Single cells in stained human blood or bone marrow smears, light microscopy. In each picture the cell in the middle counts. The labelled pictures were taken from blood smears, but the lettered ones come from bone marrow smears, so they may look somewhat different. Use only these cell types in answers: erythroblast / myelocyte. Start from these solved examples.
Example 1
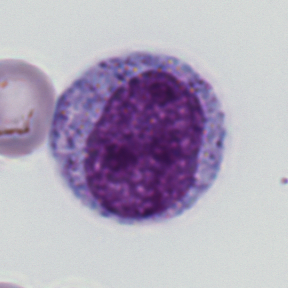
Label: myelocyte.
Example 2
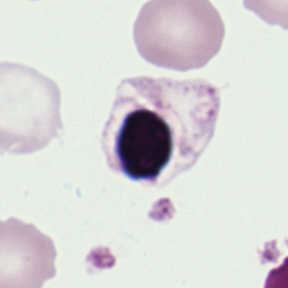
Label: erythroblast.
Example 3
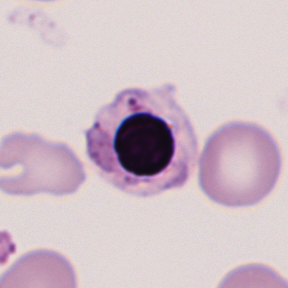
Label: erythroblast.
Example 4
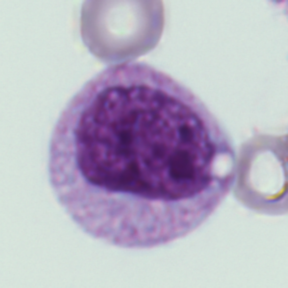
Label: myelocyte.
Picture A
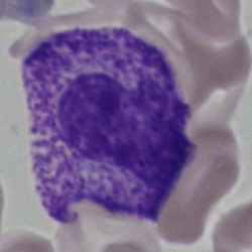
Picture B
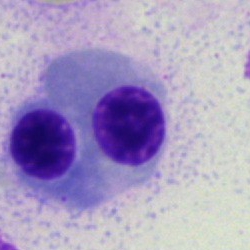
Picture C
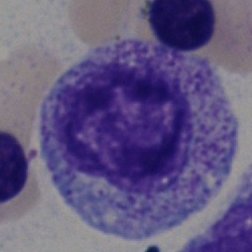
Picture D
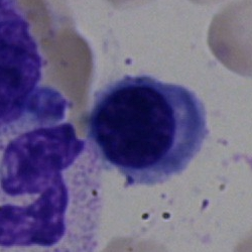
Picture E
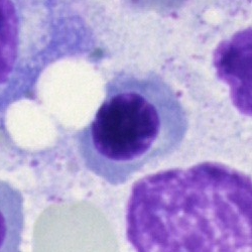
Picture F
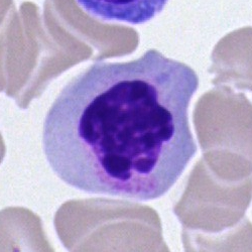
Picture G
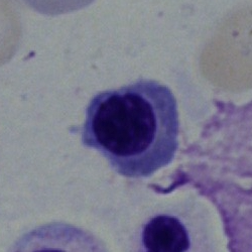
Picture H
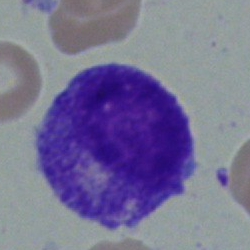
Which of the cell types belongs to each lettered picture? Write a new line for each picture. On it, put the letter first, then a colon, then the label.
A: myelocyte.
B: erythroblast.
C: myelocyte.
D: erythroblast.
E: erythroblast.
F: erythroblast.
G: erythroblast.
H: myelocyte.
